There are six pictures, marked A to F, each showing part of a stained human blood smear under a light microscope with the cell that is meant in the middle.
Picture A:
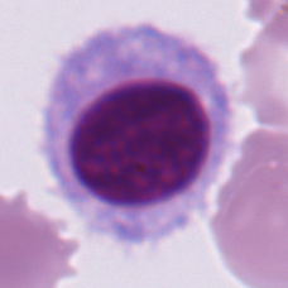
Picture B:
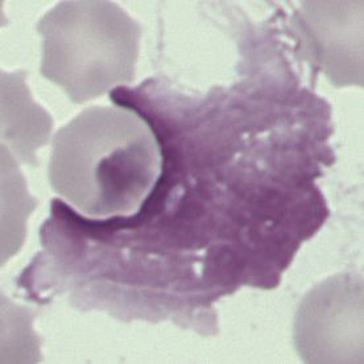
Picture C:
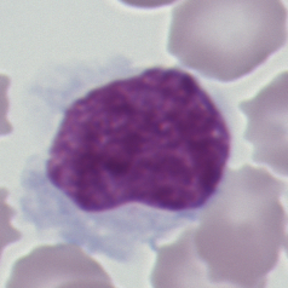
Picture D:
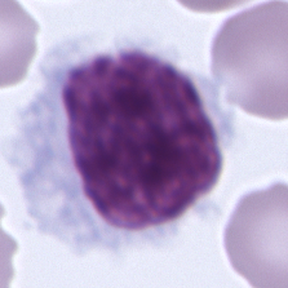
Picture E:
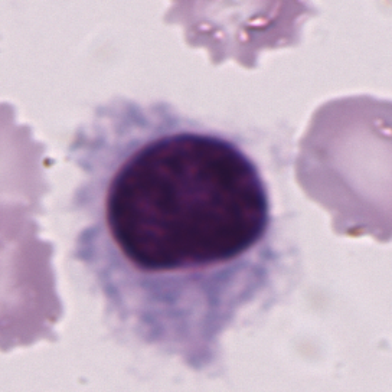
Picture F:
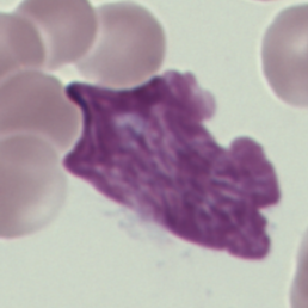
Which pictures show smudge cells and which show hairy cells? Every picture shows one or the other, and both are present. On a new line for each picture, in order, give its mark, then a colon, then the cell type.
A: hairy cell
B: smudge cell
C: hairy cell
D: hairy cell
E: hairy cell
F: smudge cell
